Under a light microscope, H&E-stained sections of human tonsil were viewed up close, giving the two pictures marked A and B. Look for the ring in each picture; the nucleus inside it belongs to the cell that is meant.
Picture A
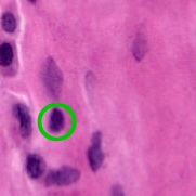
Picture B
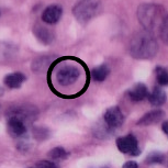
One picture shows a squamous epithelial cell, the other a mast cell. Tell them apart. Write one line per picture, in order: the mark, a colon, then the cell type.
A: mast cell
B: squamous epithelial cell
